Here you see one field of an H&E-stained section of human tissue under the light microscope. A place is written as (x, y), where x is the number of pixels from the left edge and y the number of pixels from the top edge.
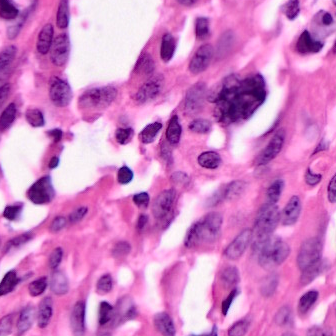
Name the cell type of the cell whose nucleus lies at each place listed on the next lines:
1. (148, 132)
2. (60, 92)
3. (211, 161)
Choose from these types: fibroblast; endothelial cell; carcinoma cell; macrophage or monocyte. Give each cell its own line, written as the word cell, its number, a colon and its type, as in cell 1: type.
cell 1: carcinoma cell
cell 2: carcinoma cell
cell 3: macrophage or monocyte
